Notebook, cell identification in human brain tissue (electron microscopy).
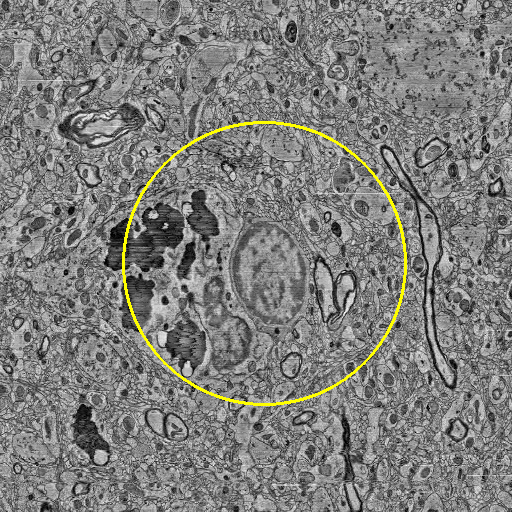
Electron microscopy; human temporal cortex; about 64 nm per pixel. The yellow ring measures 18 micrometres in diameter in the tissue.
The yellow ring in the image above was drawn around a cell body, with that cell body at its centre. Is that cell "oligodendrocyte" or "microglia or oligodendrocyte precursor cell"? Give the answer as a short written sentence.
The cell in the ring is an oligodendrocyte.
